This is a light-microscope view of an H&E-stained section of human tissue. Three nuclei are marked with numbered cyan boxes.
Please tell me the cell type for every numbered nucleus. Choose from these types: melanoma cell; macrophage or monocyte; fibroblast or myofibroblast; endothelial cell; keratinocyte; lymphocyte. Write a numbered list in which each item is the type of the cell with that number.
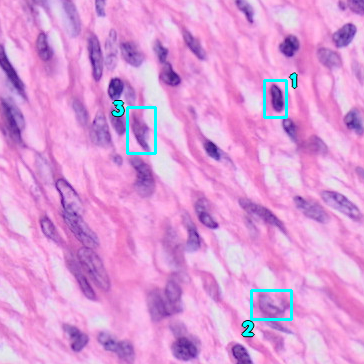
1. lymphocyte
2. fibroblast or myofibroblast
3. fibroblast or myofibroblast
